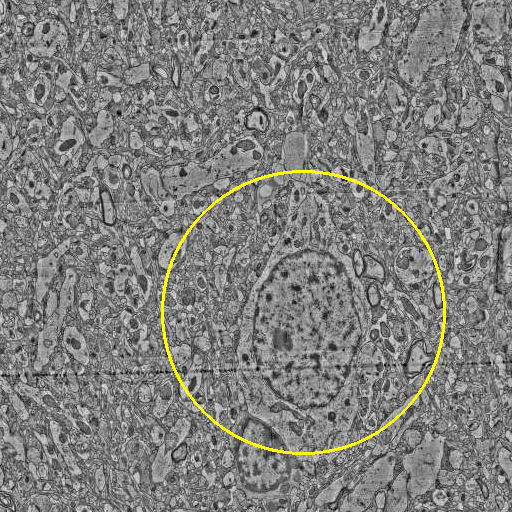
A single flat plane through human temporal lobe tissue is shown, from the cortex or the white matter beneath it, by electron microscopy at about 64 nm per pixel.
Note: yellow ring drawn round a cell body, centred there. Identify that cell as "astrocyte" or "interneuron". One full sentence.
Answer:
The cell in the middle of the ring is an interneuron.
